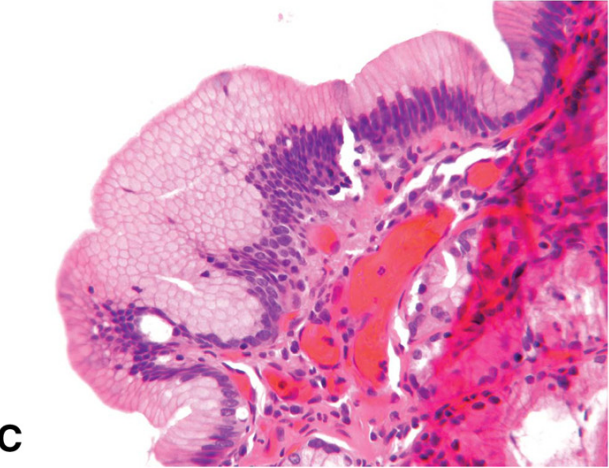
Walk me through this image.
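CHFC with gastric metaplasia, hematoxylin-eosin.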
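The cells are tall columns whose upper parts are filled by a pale, clear to faintly pink mucin cap, giving a glassy, honeycomb look along the surface. The epithelium folds down into a short pit. Beneath it lies a thin band of connective tissue with congested blood vessels full of red cells, and a denser pink fibrous layer.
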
